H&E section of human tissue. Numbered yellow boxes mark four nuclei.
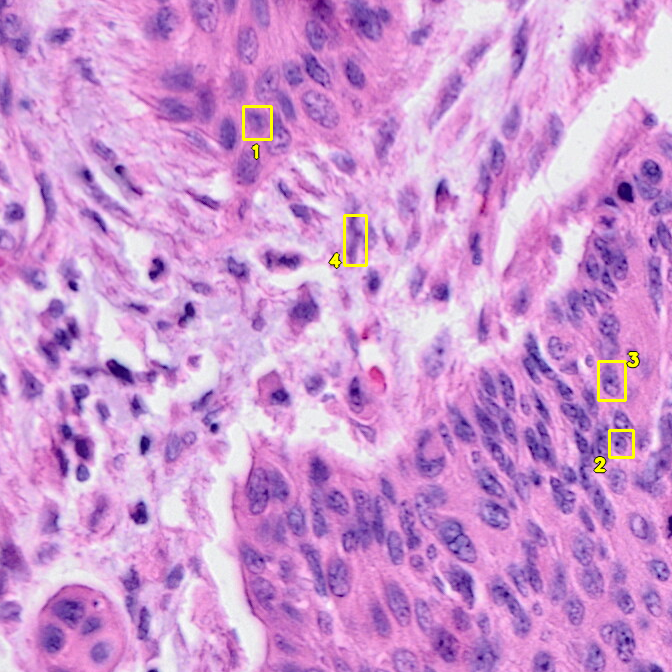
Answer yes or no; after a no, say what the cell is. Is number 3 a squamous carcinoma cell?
Yes.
